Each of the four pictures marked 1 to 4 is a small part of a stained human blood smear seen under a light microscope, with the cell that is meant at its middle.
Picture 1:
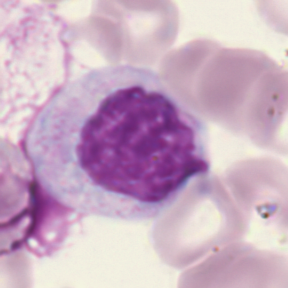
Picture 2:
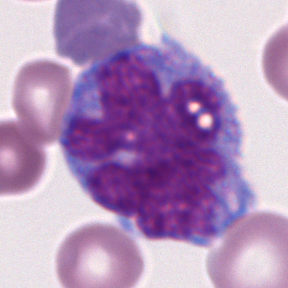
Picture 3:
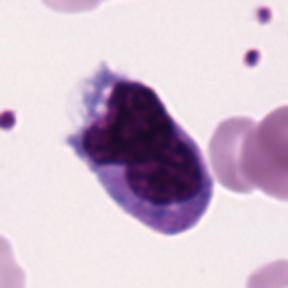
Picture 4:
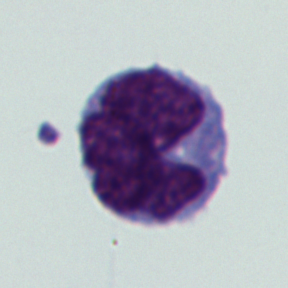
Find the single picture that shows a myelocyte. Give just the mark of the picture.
1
